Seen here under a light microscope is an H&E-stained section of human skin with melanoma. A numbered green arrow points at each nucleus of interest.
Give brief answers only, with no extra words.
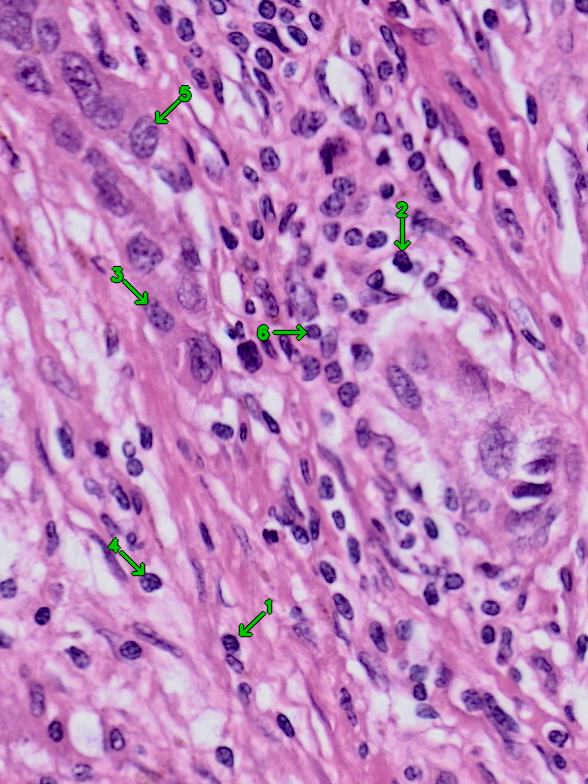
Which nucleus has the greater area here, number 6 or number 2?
2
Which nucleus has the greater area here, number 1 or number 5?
5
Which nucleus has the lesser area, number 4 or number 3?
4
